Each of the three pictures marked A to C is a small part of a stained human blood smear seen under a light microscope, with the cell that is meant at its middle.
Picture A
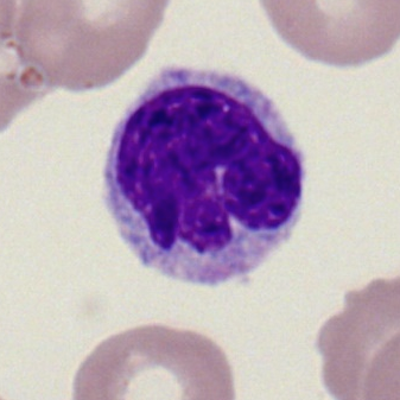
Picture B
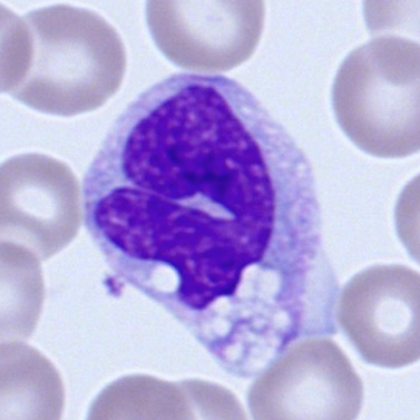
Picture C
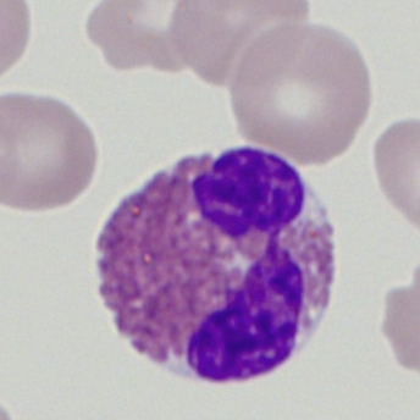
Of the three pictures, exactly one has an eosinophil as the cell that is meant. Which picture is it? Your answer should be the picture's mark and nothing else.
C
